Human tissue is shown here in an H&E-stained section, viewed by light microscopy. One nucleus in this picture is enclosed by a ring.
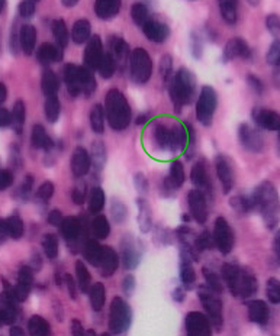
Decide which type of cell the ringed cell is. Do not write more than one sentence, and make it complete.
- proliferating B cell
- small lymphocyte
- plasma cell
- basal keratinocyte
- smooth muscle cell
Just put down that the ringed cell is a proliferating B cell.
